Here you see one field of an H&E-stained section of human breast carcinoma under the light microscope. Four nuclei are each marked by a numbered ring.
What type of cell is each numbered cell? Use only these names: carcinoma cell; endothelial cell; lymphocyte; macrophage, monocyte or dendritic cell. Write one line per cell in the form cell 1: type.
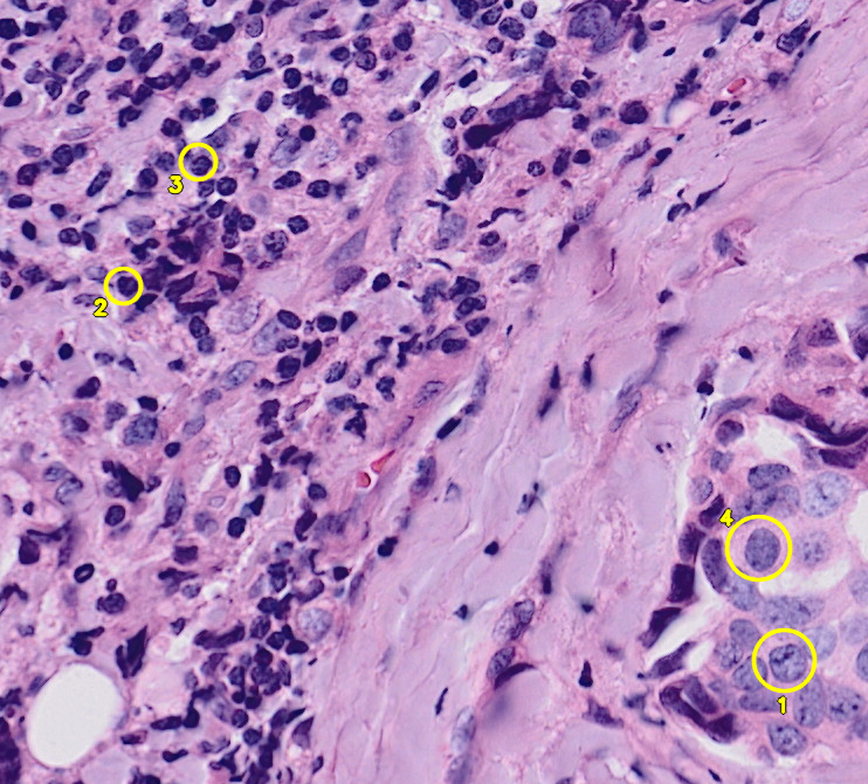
cell 1: carcinoma cell
cell 2: lymphocyte
cell 3: lymphocyte
cell 4: carcinoma cell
